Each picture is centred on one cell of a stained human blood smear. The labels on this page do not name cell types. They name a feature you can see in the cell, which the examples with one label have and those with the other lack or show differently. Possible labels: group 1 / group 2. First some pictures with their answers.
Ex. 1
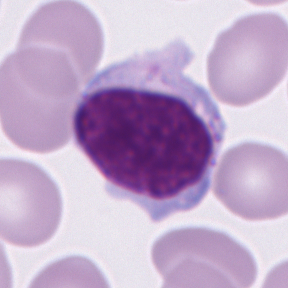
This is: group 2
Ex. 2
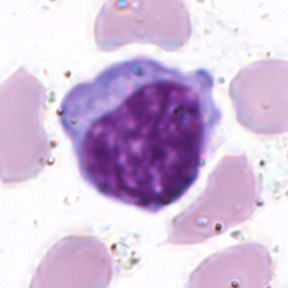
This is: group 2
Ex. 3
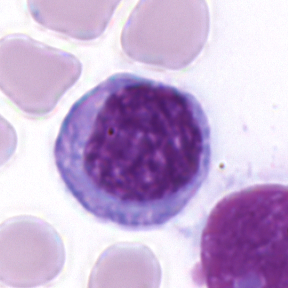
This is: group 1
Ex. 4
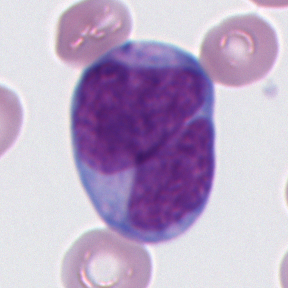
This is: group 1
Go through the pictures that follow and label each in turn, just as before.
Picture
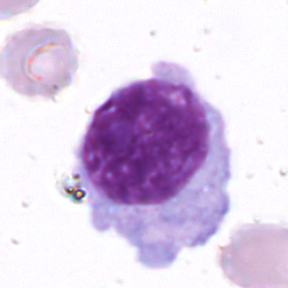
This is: group 2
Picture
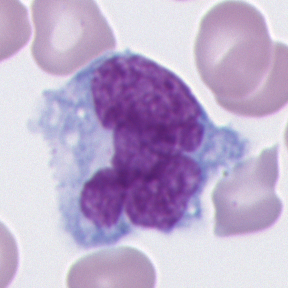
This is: group 2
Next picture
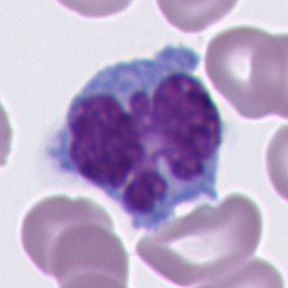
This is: group 2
